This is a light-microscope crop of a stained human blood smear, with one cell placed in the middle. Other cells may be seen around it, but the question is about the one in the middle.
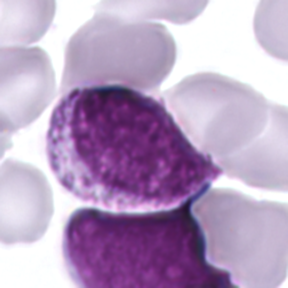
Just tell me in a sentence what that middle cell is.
In this smear crop, the middle cell is a myelocyte.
